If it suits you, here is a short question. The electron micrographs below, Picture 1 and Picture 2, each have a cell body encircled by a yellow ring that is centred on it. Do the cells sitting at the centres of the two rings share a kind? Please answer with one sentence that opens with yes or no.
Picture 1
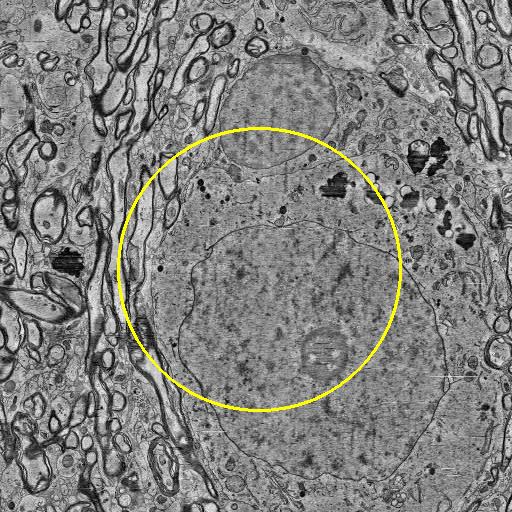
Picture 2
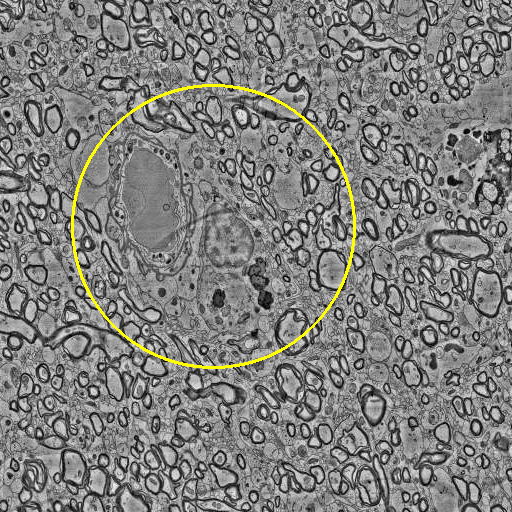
No, the two cells sitting at the ring centres fall into two kinds.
